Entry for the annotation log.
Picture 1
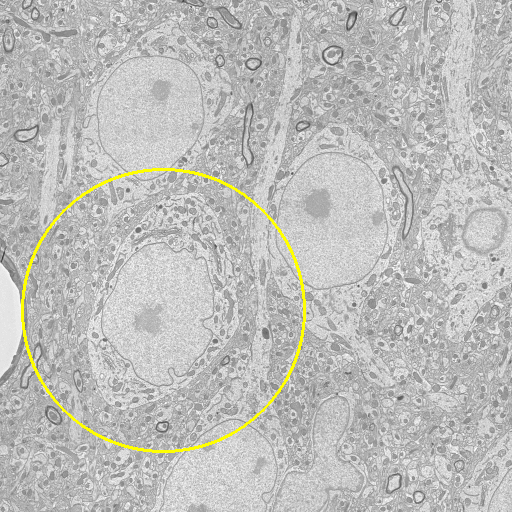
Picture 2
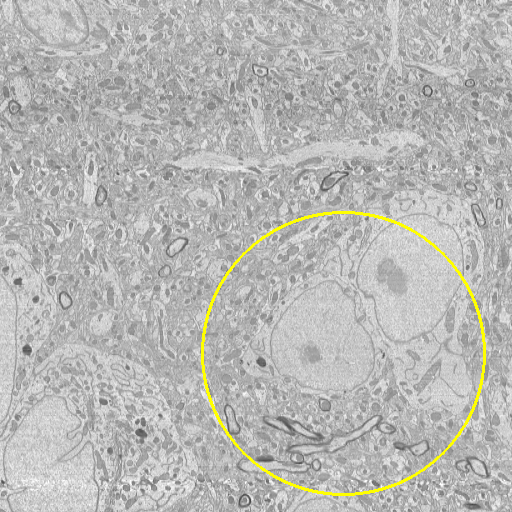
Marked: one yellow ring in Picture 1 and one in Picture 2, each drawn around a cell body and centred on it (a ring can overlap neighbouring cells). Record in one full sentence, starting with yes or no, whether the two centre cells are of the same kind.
Yes, both cells are of the same kind.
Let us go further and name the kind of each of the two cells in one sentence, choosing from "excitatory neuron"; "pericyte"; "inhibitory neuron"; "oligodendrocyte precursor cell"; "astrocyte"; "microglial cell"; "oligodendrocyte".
Both pictures show an inhibitory neuron at the centre of the ring.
